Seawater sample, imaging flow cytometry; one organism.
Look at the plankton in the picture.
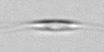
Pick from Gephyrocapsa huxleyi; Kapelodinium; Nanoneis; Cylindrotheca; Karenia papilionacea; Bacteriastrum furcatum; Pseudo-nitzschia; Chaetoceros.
Cylindrotheca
